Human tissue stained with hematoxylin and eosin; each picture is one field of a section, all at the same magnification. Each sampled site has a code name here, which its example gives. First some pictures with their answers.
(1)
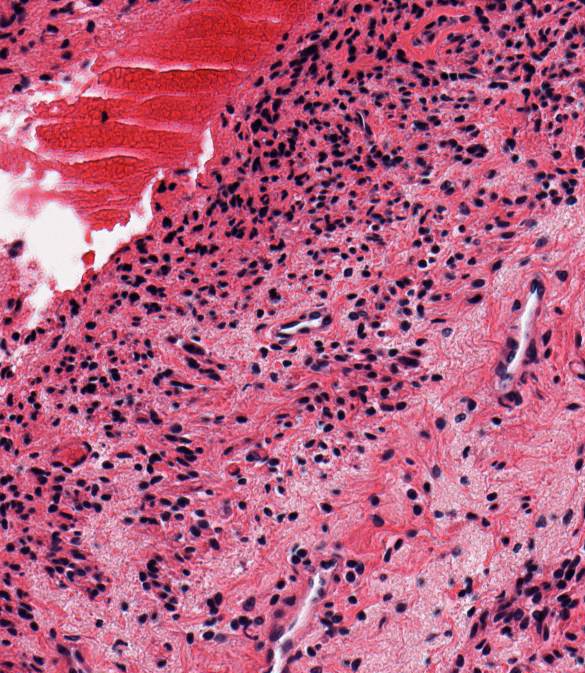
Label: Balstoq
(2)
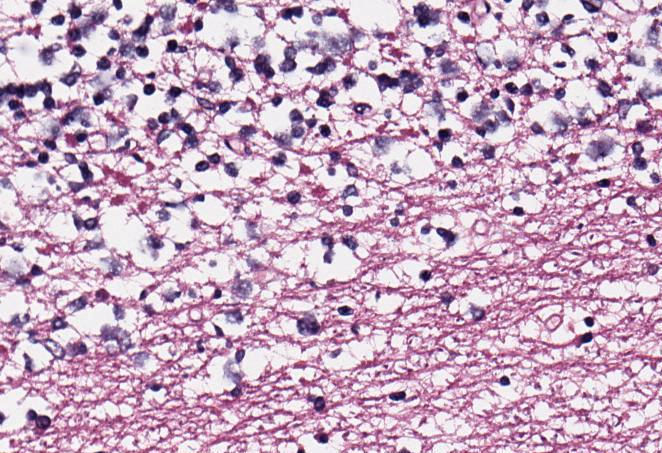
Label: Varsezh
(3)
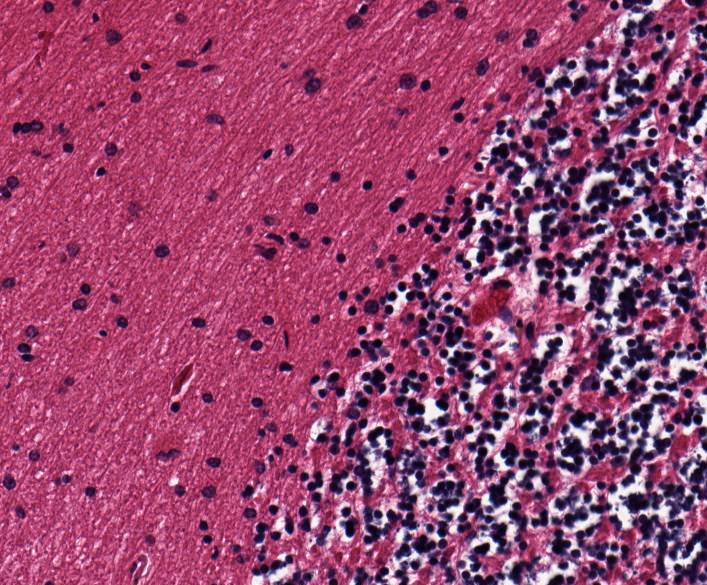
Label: Varsezh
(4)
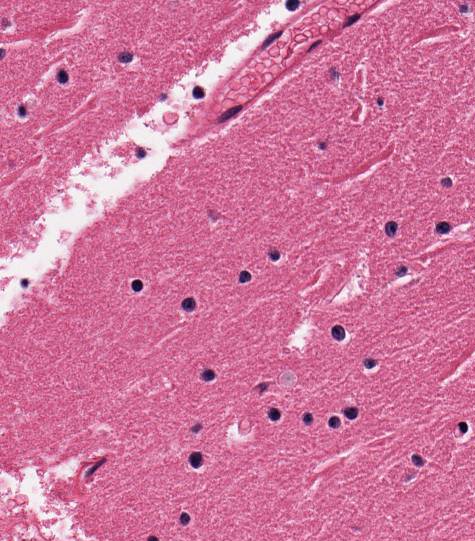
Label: Varsezh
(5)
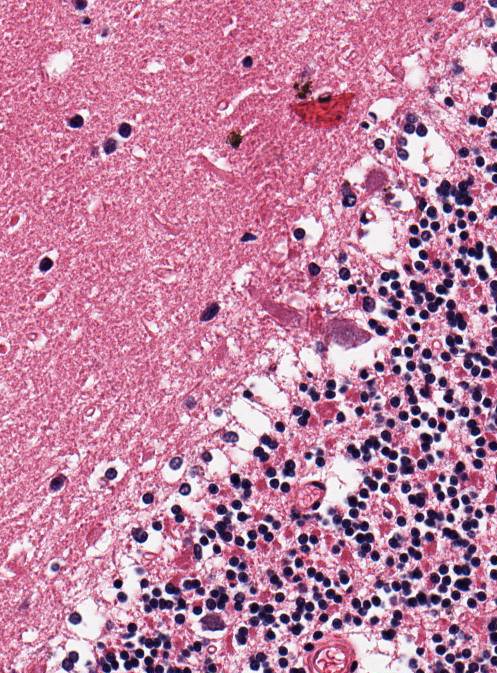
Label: Varsezh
